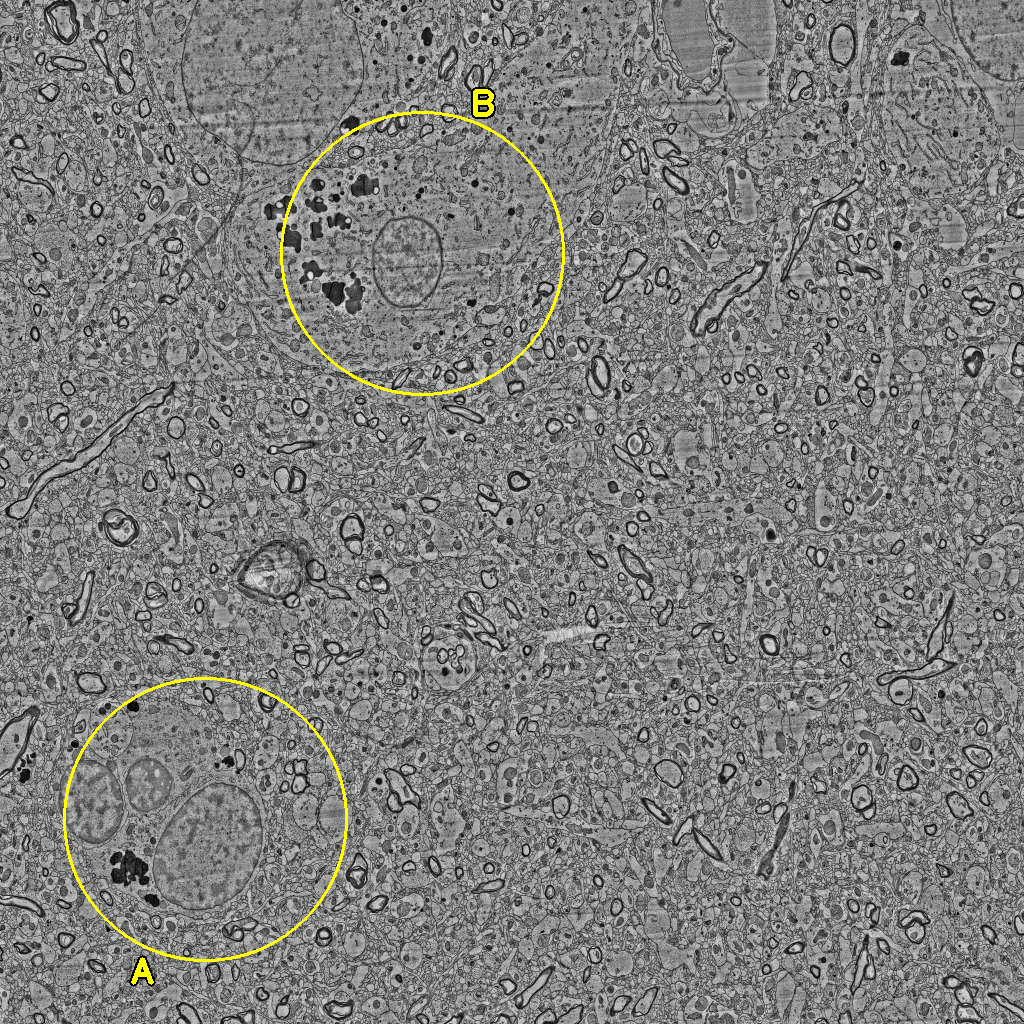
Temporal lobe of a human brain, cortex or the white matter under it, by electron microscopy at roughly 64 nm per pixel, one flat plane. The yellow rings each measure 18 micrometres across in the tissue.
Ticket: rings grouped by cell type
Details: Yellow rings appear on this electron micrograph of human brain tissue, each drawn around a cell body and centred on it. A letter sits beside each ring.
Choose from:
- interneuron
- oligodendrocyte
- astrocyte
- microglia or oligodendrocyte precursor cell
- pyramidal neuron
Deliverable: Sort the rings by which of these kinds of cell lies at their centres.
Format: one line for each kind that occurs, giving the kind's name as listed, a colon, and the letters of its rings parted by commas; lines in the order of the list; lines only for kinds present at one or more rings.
oligodendrocyte: A
pyramidal neuron: B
